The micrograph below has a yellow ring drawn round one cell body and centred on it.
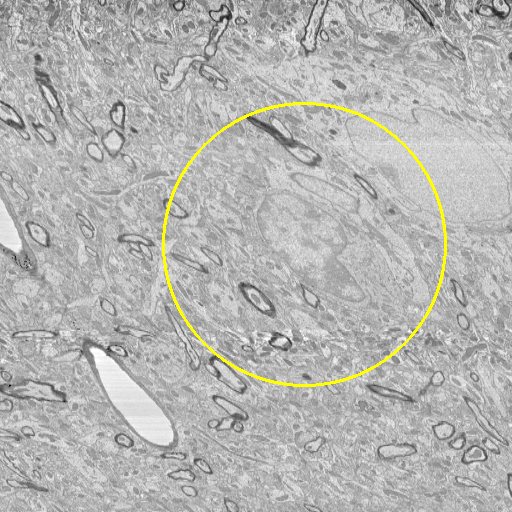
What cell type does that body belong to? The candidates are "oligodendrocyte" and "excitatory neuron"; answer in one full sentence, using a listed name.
This is an oligodendrocyte, the cell whose body lies at the centre of the ring.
